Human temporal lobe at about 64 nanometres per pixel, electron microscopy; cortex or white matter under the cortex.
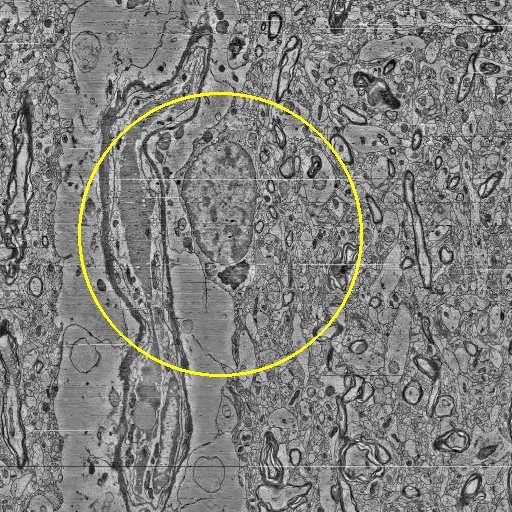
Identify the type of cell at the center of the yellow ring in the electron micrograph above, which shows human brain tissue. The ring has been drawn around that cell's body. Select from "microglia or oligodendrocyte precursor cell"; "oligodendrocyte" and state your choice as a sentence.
The yellow ring is centered on the body of an oligodendrocyte.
